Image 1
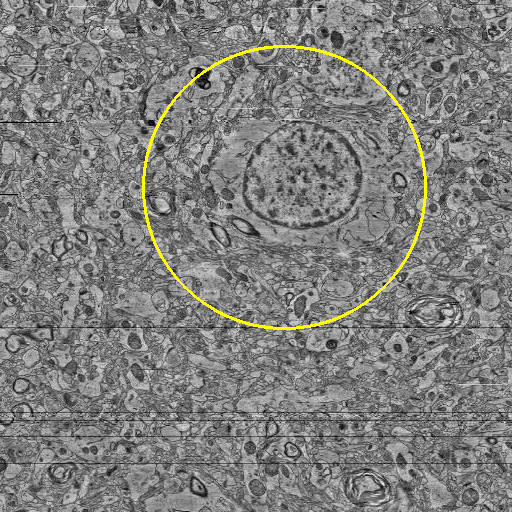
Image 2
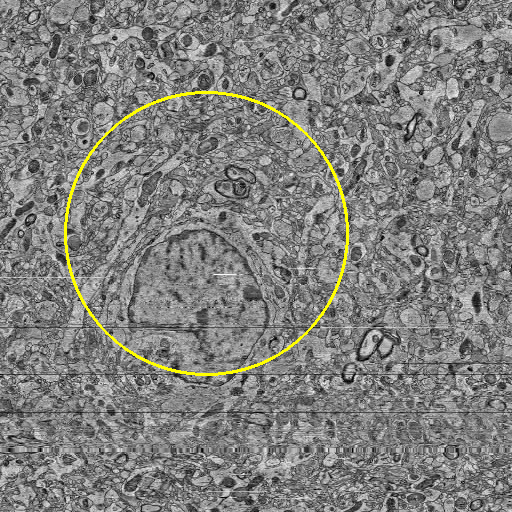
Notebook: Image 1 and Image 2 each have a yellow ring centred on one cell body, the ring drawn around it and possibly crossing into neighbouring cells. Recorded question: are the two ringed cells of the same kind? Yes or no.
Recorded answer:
no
